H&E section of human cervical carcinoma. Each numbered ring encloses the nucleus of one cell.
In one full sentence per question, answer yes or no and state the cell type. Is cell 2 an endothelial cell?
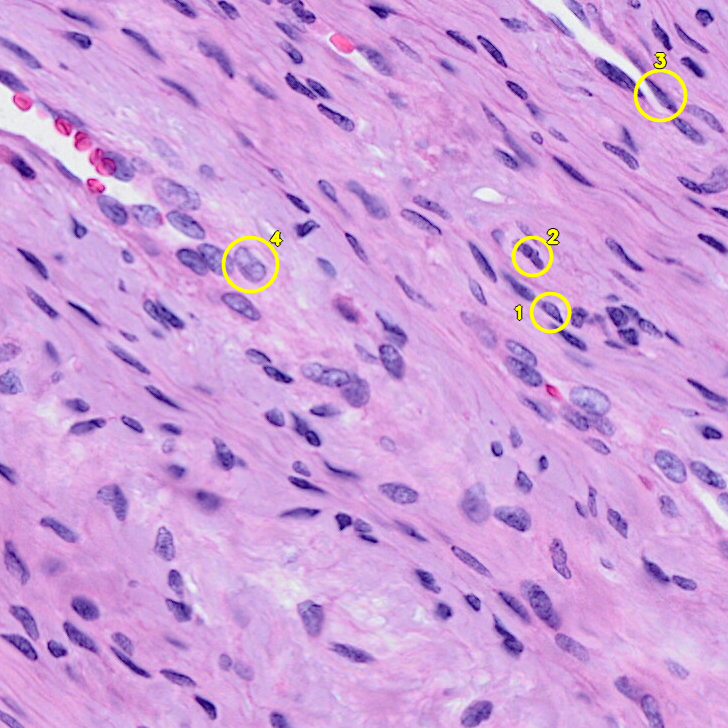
No, the marked cell 2 is not an endothelial cell, being instead a fibroblast.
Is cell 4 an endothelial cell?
Yes, the cell shown as number 4 is an endothelial cell.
